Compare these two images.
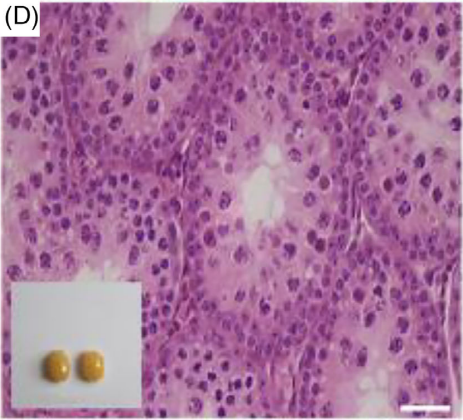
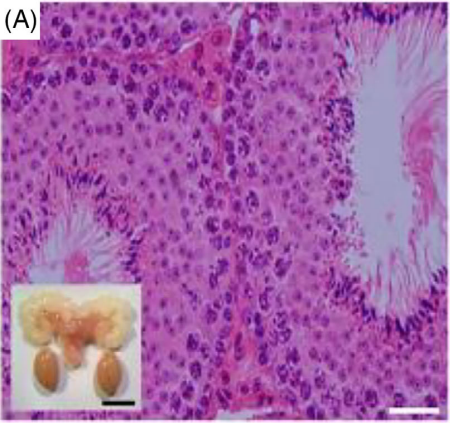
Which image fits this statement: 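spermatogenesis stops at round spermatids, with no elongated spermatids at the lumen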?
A: The first image.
